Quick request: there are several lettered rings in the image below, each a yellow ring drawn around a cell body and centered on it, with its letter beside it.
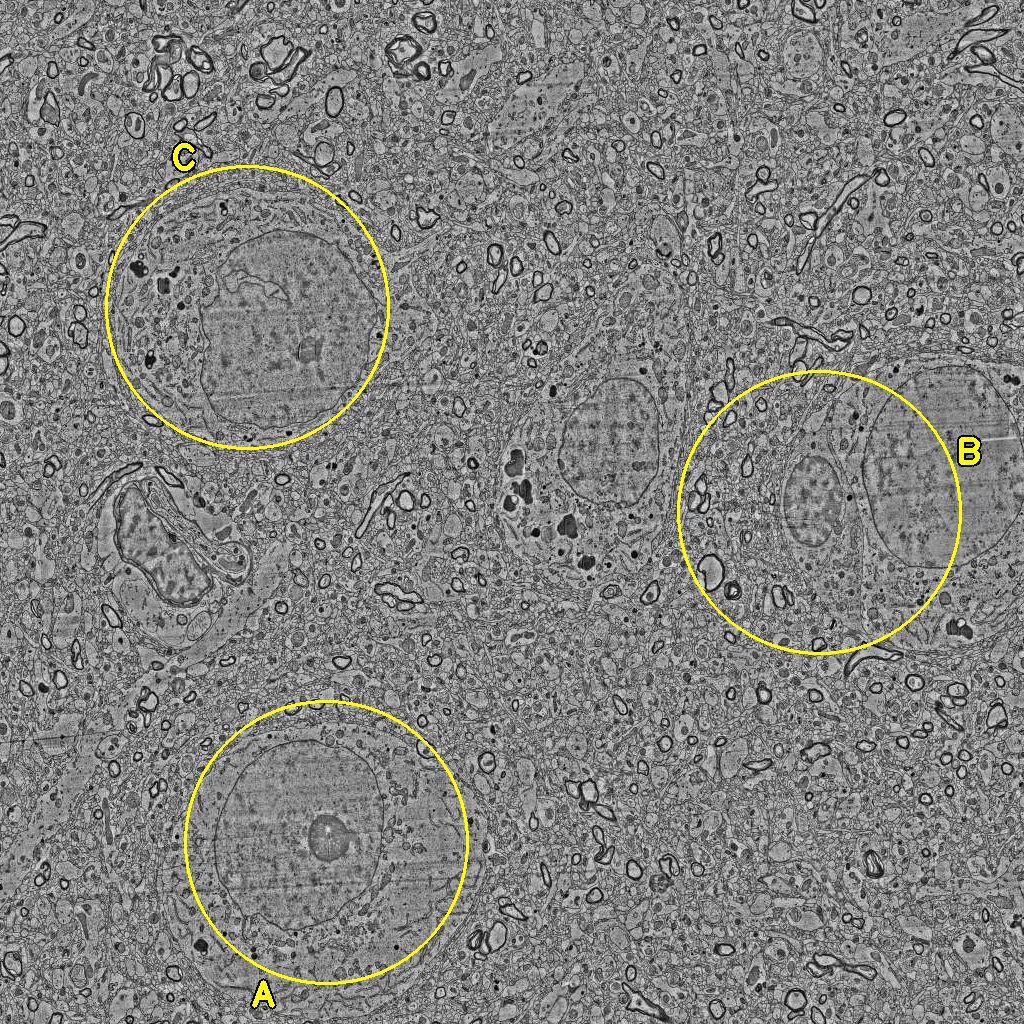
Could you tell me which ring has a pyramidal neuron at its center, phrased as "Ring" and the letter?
Ring A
